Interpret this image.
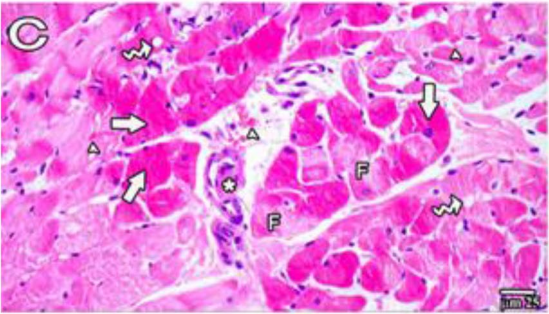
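Heart muscle with disordered fibers of uneven size and staining. Some fibers are enlarged and deeply pink; others are pale with cleared, vacuolated cytoplasm. In places the cytoplasm is broken into irregular fragments separated by clefts. Between bundles, near the centre, a cluster of small dark nuclei of infiltrating cells lies where muscle fibers are missing, with red blood cells outside vessels nearby. Connective tissue spaces are widened and irregular, and nuclei of the fibers are variably placed.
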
